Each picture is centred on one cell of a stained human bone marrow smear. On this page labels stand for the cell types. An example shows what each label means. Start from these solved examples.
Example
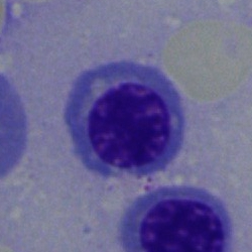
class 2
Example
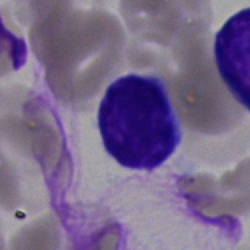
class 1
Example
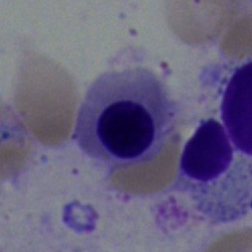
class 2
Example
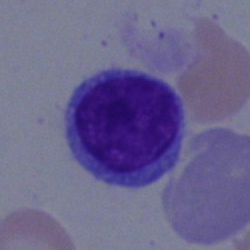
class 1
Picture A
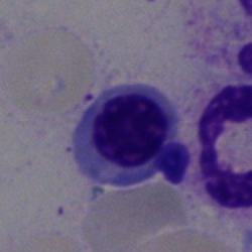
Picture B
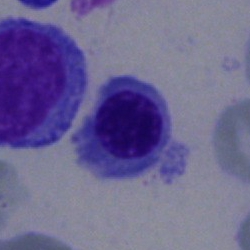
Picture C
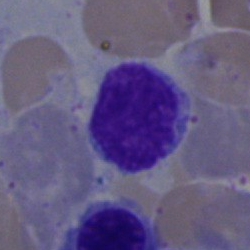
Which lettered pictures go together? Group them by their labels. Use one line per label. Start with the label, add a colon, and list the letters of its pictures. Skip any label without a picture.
class 2: A, B
class 1: C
